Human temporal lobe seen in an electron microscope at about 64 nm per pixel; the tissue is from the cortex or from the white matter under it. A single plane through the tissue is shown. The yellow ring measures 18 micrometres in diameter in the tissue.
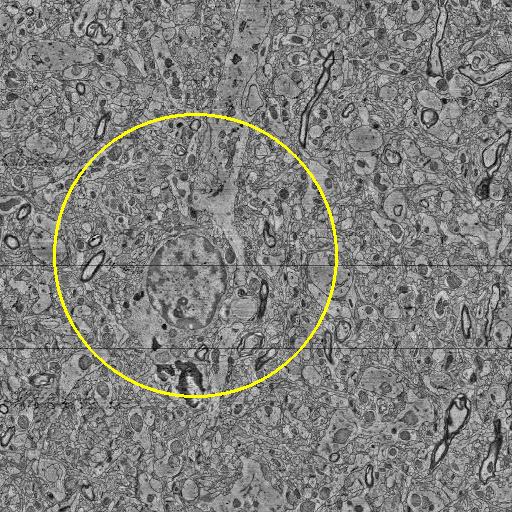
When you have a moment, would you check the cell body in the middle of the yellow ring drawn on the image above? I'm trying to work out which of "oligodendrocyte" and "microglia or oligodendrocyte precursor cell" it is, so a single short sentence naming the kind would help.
This cell body belongs to an oligodendrocyte.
